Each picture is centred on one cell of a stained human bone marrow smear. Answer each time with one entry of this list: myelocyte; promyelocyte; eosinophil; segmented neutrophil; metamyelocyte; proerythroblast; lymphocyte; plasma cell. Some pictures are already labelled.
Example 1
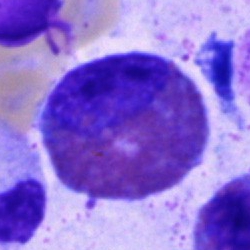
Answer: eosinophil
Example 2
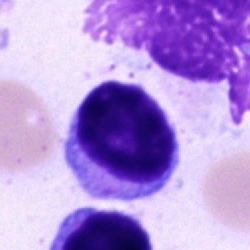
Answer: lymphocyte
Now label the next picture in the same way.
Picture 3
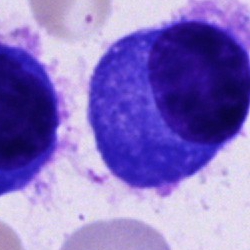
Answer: plasma cell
